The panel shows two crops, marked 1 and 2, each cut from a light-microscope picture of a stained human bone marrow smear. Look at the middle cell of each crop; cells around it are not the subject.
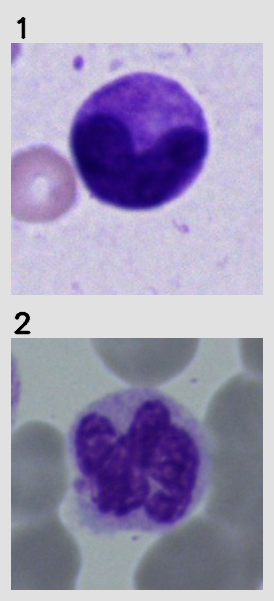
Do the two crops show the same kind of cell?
no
